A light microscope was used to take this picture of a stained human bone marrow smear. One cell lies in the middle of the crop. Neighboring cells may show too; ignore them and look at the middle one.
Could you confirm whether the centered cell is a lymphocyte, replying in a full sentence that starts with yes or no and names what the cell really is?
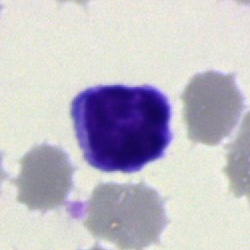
Yes, the crop's central cell is a lymphocyte.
